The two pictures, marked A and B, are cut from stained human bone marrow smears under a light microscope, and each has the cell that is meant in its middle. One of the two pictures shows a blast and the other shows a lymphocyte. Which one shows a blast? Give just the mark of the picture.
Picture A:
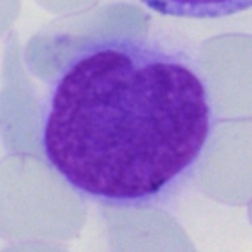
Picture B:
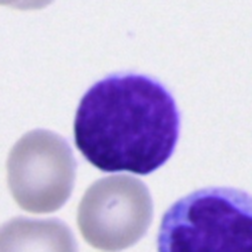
A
